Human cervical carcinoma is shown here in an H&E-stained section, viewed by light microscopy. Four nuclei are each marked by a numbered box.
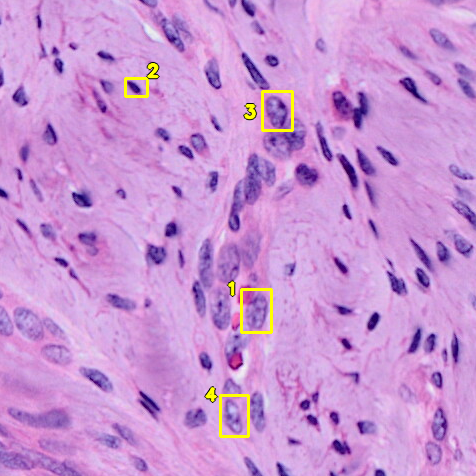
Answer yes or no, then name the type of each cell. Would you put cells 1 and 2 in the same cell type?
No, cell 1 is an endothelial cell and cell 2 is a fibroblast.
